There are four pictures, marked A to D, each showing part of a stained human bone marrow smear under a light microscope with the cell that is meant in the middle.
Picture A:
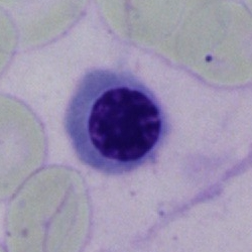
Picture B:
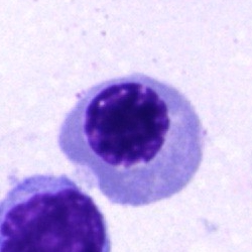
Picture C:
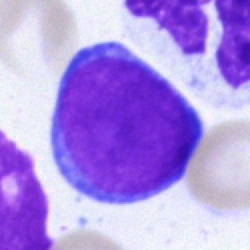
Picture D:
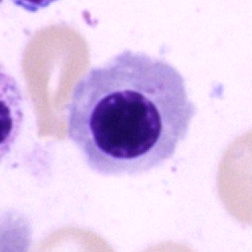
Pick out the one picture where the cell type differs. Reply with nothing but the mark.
C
